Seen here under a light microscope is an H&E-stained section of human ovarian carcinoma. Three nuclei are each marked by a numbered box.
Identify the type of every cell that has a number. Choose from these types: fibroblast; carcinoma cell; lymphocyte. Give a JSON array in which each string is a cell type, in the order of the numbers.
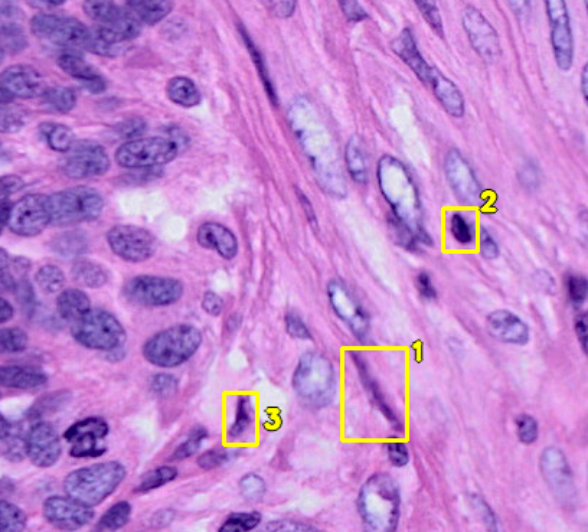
["fibroblast", "lymphocyte", "fibroblast"]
